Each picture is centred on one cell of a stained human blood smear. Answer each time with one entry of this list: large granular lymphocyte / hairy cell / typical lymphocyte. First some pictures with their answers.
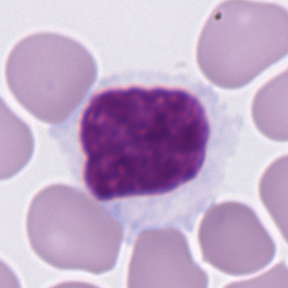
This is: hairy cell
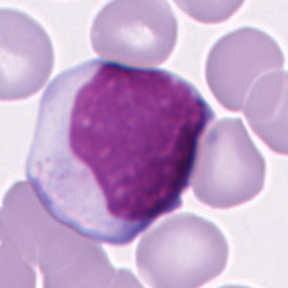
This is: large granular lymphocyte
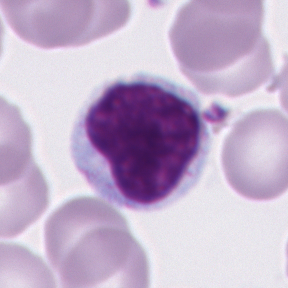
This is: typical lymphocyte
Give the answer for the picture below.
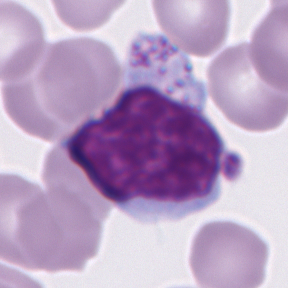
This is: large granular lymphocyte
